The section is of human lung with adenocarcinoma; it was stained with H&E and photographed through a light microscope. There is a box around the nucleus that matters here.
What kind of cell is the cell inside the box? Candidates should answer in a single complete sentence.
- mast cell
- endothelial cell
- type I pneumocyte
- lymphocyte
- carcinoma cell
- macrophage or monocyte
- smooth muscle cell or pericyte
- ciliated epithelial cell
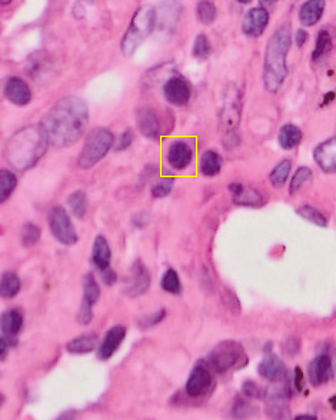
In this section, the cell inside the box is a lymphocyte.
